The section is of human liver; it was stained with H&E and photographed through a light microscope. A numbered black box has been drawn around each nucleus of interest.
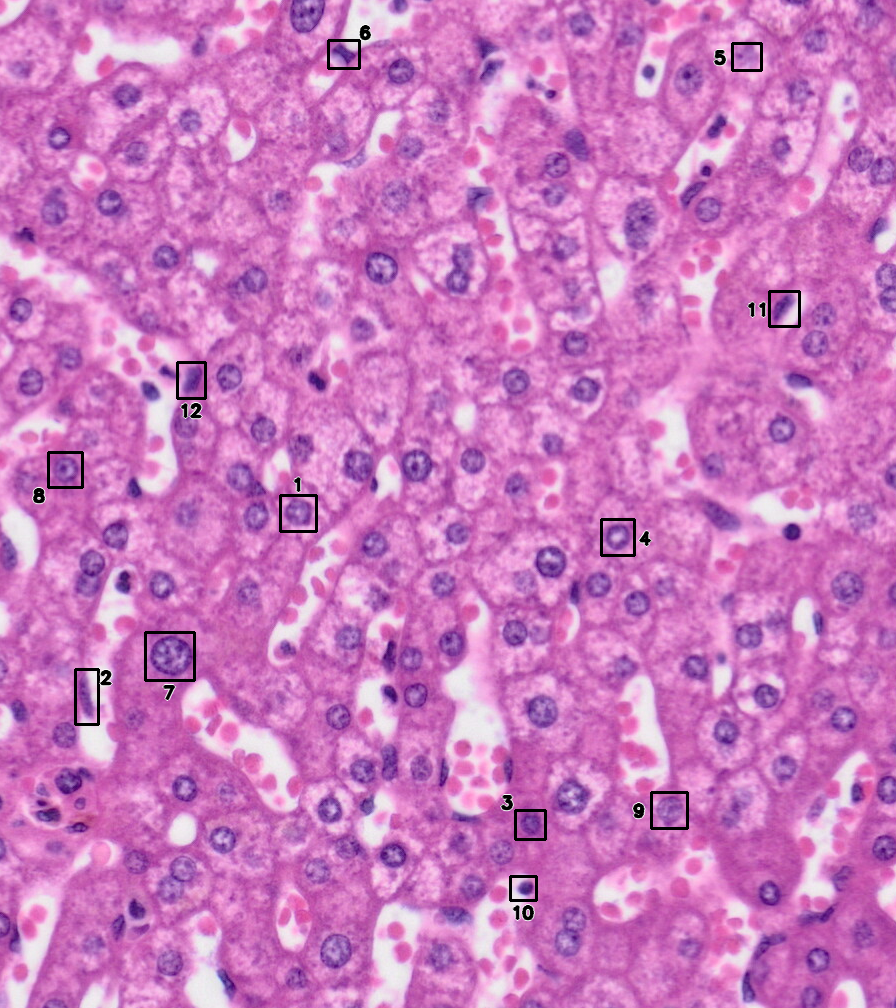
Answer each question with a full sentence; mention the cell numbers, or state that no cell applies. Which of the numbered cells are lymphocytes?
Among the cells marked with numbers, the only one that is a lymphocyte is number 10.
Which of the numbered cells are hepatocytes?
The cells with numbers 1, 3, 4, 5, 7, 8 and 9 are hepatocytes by type.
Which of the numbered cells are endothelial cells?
Exactly one of the numbered cells is an endothelial cell, namely cell 6.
